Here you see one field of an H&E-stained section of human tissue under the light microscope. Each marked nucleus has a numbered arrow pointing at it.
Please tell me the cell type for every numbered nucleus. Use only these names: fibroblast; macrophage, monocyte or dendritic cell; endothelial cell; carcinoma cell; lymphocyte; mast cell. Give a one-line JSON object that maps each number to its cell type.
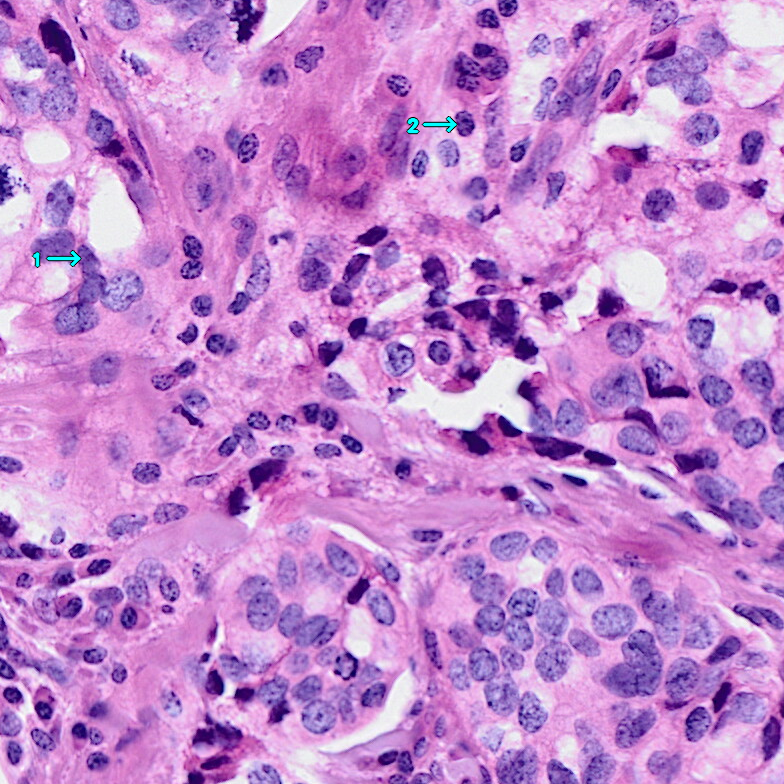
{"1": "carcinoma cell", "2": "lymphocyte"}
